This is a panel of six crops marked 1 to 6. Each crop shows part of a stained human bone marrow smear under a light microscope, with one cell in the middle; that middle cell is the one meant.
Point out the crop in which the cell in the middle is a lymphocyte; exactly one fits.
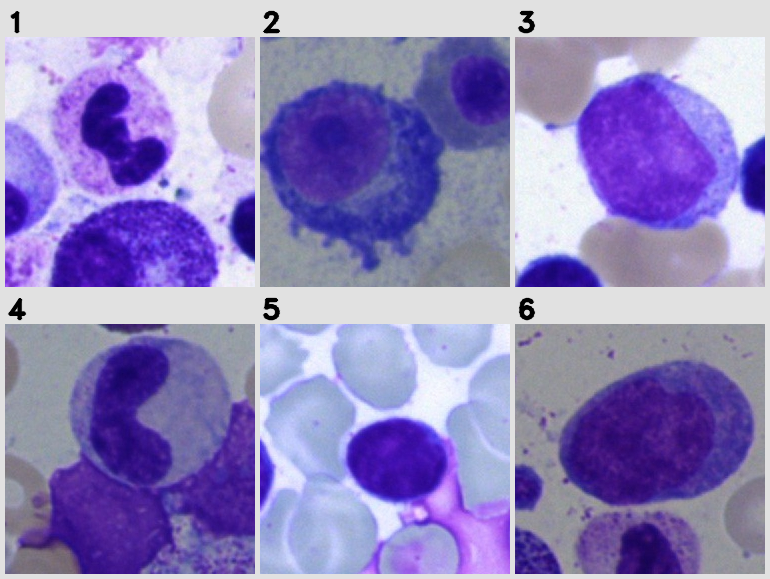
5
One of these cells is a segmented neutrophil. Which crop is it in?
1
